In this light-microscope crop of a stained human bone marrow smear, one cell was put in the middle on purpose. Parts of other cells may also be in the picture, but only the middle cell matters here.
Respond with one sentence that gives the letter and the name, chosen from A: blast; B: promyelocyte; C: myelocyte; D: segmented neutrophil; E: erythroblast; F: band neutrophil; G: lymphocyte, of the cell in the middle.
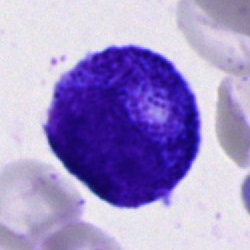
The cell shown centrally is a promyelocyte; option B is the correct option.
